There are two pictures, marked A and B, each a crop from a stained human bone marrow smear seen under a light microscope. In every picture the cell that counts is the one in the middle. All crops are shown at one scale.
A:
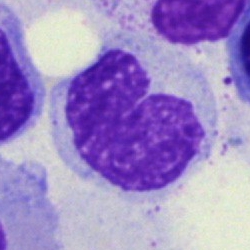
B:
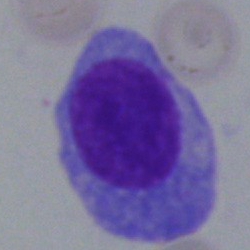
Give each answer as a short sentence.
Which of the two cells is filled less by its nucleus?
Of the two, the nucleus in crop B leaves more room for cytoplasm.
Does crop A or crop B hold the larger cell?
The cell in crop B is larger, with about 1.5 times the area of the one in crop A.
